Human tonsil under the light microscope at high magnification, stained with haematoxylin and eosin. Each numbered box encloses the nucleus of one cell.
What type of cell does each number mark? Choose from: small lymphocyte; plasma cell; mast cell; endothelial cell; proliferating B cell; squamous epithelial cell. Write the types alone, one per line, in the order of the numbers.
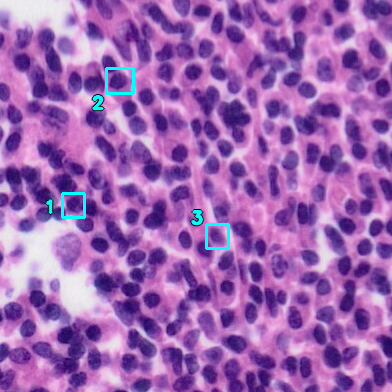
small lymphocyte
plasma cell
plasma cell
